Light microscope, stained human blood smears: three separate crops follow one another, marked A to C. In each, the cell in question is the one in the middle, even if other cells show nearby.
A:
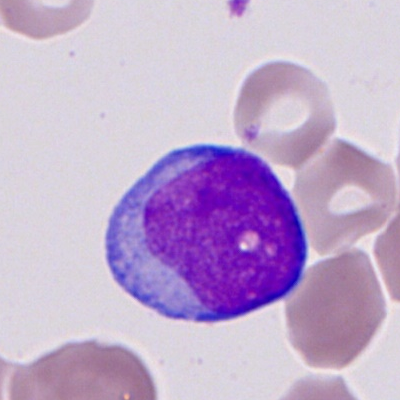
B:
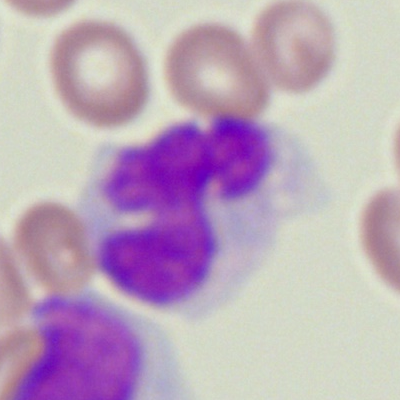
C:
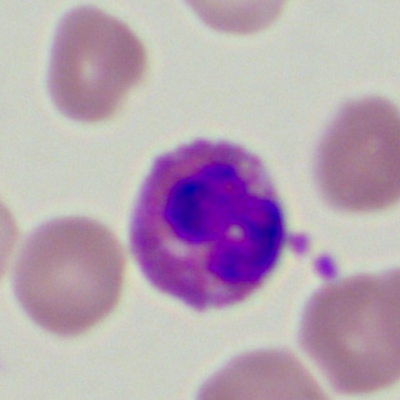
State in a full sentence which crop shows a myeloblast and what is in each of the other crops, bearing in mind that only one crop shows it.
In crop A there is a myeloblast, while crop B is a monocyte and crop C is an eosinophil.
